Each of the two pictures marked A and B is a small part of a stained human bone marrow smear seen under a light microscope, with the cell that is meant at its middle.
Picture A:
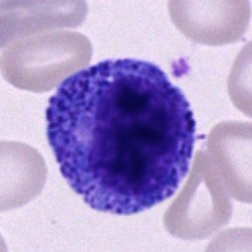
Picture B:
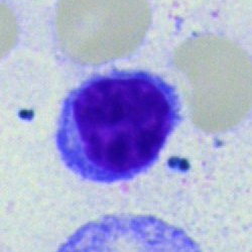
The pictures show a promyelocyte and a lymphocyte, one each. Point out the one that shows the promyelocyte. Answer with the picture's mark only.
A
